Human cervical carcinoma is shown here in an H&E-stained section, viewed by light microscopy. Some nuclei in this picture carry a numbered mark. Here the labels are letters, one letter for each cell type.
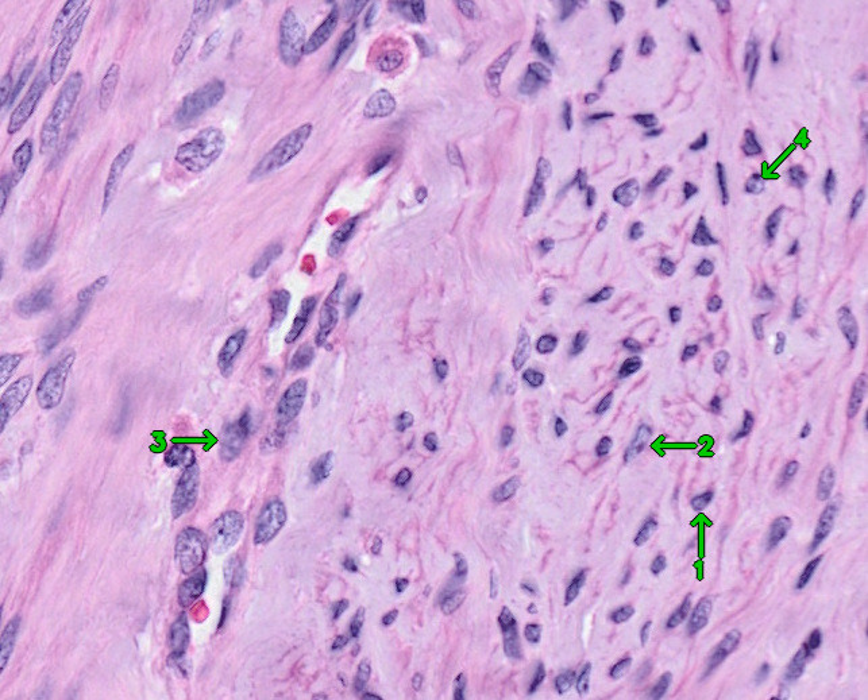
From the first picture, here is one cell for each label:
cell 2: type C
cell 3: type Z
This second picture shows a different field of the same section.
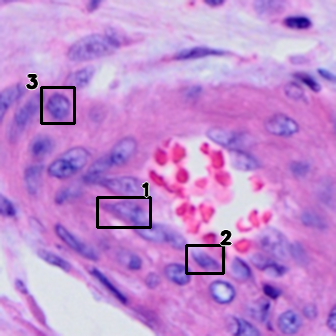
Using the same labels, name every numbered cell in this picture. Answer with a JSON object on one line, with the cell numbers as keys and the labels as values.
{"1": "type Z", "2": "type Z", "3": "type C"}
